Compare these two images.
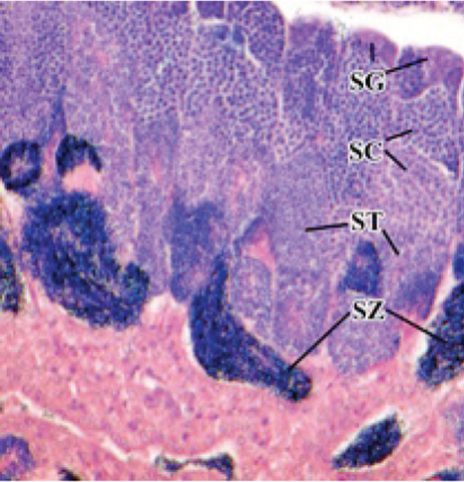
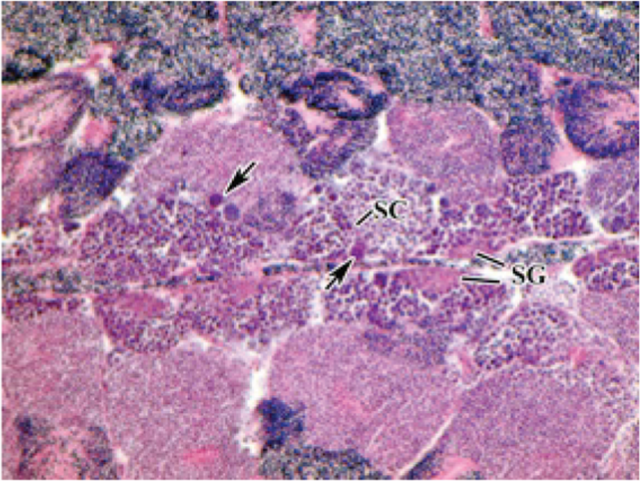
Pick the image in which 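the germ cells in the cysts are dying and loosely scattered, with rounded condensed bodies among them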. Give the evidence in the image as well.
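Second image: cysts are disrupted, cells are loosely scattered, with rounded darker purple bodies among them. First image: cysts are orderly and tightly packed with small, evenly spaced purple cells.
Answer: the second image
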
